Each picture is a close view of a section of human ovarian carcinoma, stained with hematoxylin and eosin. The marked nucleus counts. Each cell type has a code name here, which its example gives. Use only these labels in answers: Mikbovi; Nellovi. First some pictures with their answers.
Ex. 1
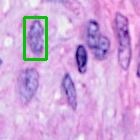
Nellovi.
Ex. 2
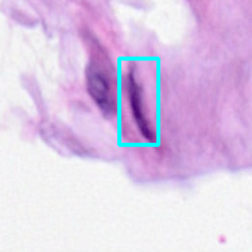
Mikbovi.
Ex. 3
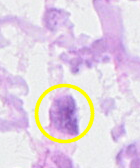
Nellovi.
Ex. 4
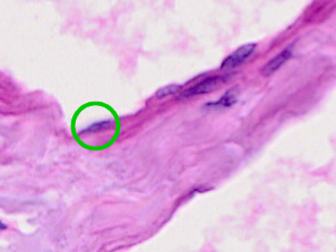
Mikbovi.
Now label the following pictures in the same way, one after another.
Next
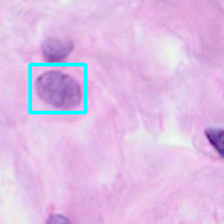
Nellovi.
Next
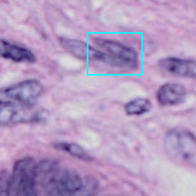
Nellovi.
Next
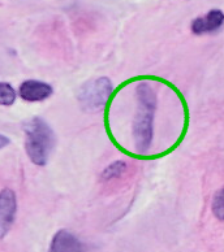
Nellovi.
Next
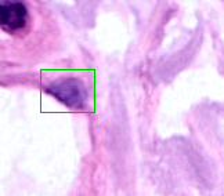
Mikbovi.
